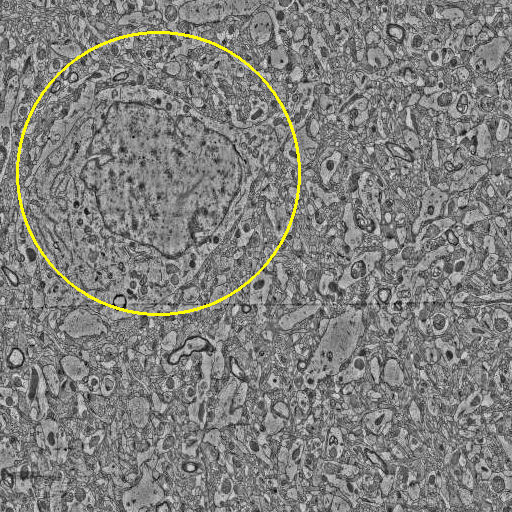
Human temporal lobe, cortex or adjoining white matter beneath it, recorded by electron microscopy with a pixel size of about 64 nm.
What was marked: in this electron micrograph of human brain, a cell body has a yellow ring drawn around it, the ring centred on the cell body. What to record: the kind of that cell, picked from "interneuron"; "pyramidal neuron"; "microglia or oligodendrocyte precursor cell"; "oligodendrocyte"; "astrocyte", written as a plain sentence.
The centred cell is an interneuron.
